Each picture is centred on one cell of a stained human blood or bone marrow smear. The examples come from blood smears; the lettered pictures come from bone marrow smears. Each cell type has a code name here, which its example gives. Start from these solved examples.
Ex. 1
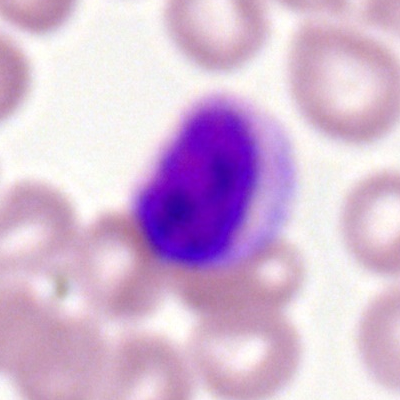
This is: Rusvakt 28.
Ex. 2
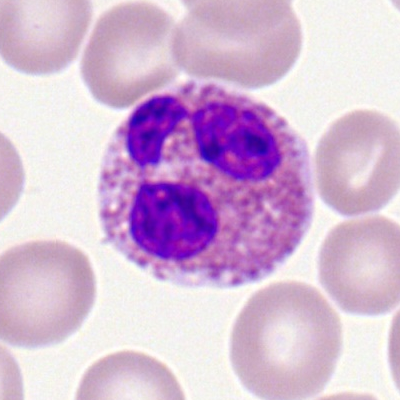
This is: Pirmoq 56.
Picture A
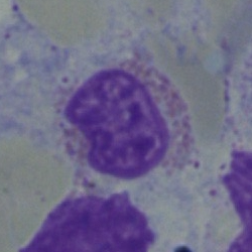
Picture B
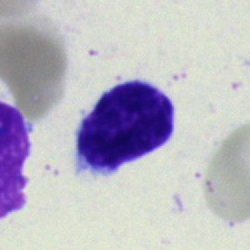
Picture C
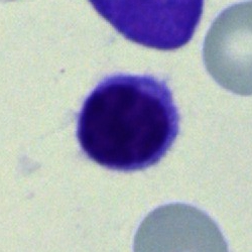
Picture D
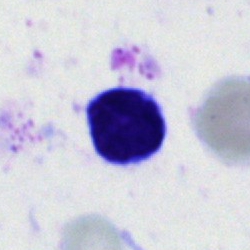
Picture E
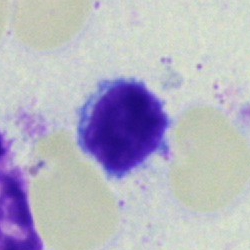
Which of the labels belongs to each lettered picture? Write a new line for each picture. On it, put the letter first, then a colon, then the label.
A: Pirmoq 56.
B: Rusvakt 28.
C: Rusvakt 28.
D: Rusvakt 28.
E: Rusvakt 28.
